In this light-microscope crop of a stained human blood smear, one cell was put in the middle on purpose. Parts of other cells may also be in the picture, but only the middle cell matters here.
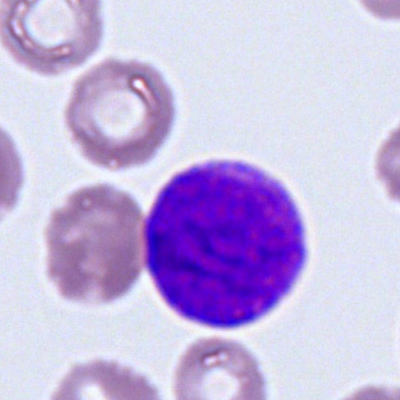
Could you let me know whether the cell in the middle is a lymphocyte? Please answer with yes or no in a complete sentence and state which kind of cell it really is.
No, the cell found centrally in the crop is a blast, not a lymphocyte.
